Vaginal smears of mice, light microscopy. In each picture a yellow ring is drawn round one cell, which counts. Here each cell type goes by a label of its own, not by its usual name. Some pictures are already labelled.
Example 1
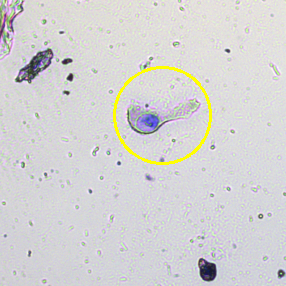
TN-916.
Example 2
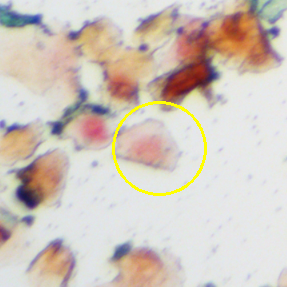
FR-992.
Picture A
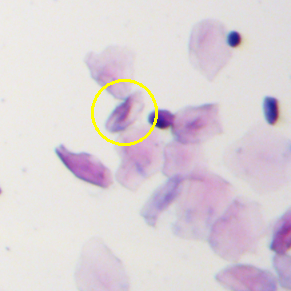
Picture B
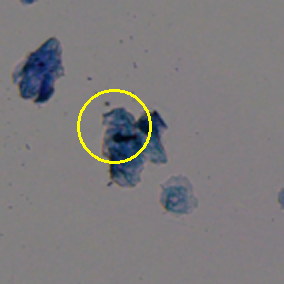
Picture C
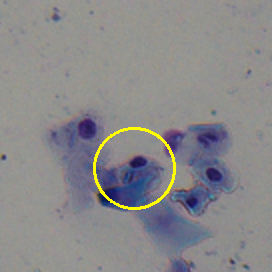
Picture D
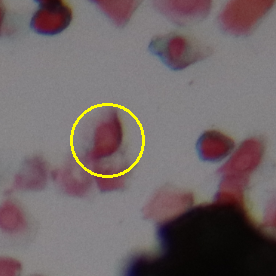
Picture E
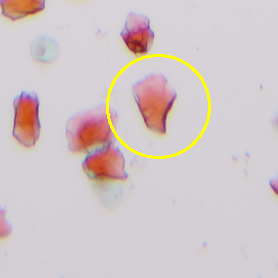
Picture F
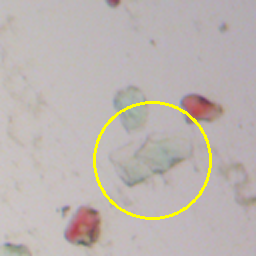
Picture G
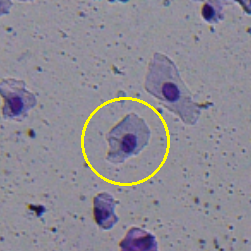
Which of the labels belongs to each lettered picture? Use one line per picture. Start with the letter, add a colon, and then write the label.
A: FR-992.
B: FR-992.
C: TN-916.
D: TN-916.
E: FR-992.
F: FR-992.
G: TN-916.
